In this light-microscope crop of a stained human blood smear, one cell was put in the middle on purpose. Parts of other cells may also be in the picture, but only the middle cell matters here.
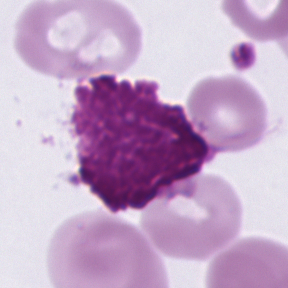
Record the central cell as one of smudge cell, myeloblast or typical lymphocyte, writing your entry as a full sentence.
The target cell in the middle of the crop is a smudge cell.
